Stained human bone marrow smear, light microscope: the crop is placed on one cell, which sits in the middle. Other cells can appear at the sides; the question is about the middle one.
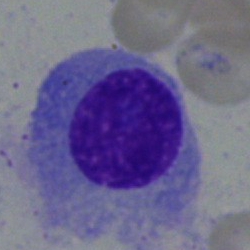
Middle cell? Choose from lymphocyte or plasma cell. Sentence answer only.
The cell nearest the centre of this crop is a plasma cell.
